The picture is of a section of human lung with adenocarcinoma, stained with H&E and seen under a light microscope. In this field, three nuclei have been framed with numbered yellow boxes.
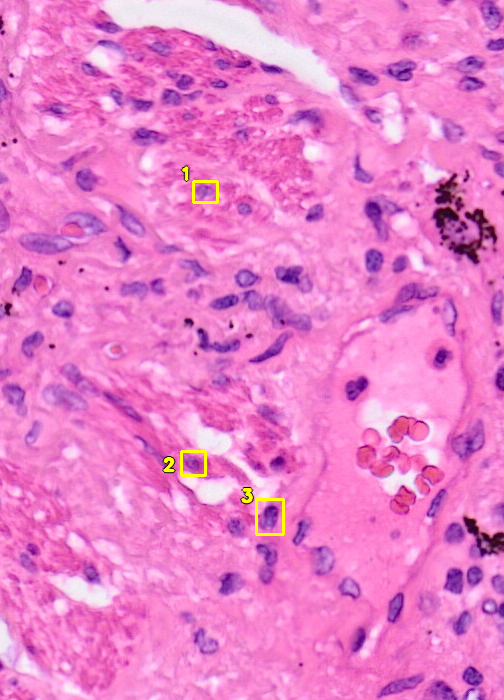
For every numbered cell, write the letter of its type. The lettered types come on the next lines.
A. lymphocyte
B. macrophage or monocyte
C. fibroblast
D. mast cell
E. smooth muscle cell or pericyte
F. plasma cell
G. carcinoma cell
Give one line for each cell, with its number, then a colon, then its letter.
1: E
2: E
3: D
